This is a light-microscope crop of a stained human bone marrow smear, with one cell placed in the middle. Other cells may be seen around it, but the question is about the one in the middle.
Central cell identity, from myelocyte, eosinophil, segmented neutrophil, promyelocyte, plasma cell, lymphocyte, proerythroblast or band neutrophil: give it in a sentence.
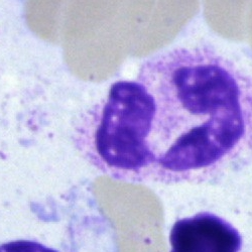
The cell at the middle of the frame should be recorded as a segmented neutrophil.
